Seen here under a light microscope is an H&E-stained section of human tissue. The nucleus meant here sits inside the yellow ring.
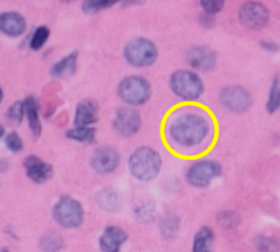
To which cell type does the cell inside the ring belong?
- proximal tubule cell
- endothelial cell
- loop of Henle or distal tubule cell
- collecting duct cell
loop of Henle or distal tubule cell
